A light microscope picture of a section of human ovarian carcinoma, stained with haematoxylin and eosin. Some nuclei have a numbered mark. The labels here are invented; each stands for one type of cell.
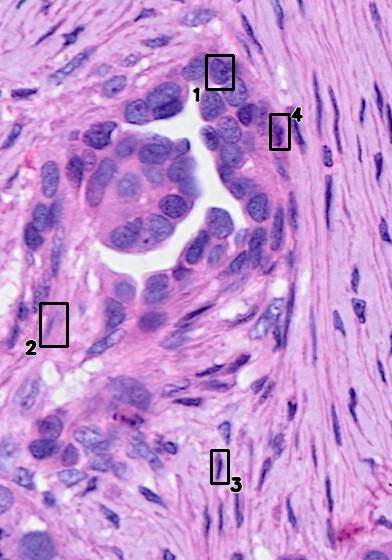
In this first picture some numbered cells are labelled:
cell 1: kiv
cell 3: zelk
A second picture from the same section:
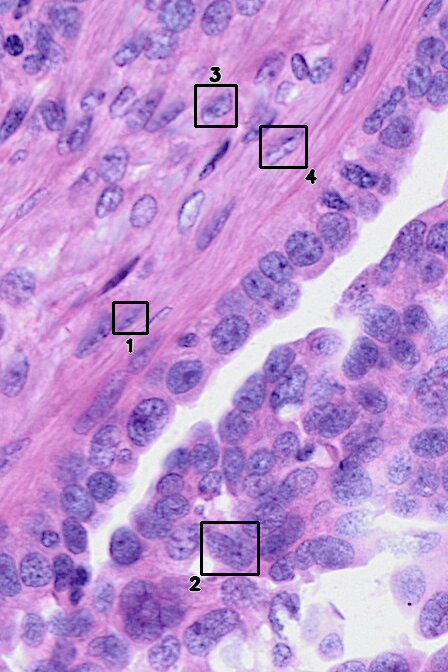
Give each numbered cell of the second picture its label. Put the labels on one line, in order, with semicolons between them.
zelk; kiv; zelk; zelk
